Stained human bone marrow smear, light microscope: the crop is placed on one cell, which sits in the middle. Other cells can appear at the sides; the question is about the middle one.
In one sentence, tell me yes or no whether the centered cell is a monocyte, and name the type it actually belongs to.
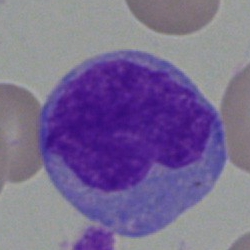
Yes, a monocyte is the cell positioned in the middle of the field.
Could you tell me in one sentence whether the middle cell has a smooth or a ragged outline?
There are no projections here; the outline is simply smooth.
